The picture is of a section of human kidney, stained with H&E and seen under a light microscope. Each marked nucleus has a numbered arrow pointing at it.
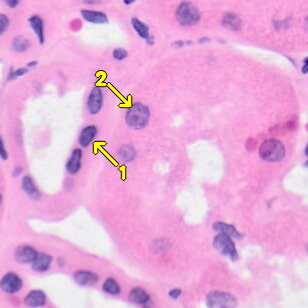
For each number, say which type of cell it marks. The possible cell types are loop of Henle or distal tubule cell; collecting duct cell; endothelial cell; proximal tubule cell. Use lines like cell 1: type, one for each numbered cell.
cell 1: collecting duct cell
cell 2: proximal tubule cell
